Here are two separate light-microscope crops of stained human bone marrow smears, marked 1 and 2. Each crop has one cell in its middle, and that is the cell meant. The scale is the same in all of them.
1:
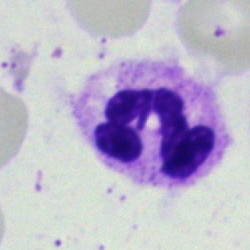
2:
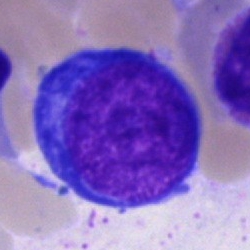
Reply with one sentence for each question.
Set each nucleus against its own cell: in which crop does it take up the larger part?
In crop 2 the nucleus takes up the larger part of its cell.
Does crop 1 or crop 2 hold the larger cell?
Larger is the cell in crop 2, at roughly 1.5 times the area of the other.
